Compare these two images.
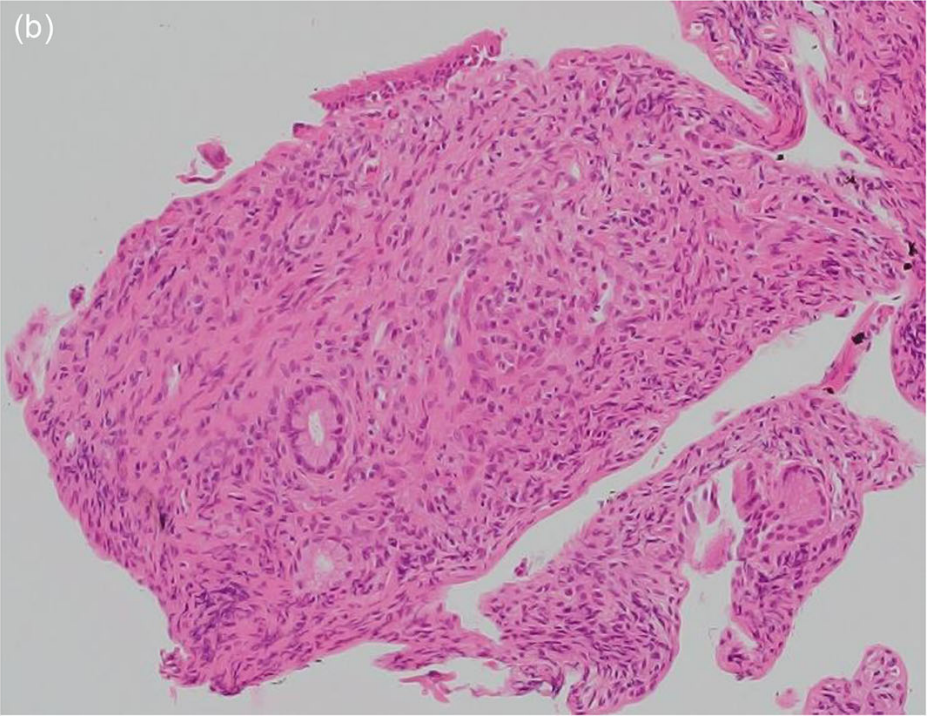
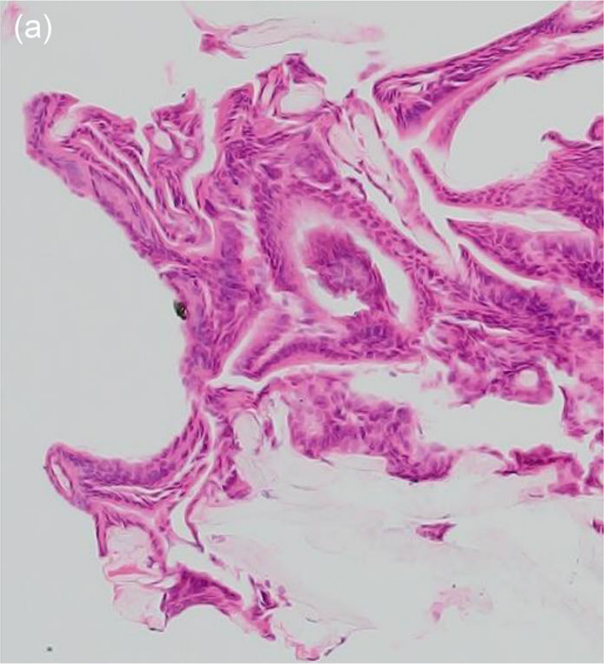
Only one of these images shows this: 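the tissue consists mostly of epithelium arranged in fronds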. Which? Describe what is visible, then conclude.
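First image: a solid fragment of spindle-cell connective tissue with only a few small glands. Second image: branching fronds lined by columnar epithelium with little intervening tissue.
Answer: the second image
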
